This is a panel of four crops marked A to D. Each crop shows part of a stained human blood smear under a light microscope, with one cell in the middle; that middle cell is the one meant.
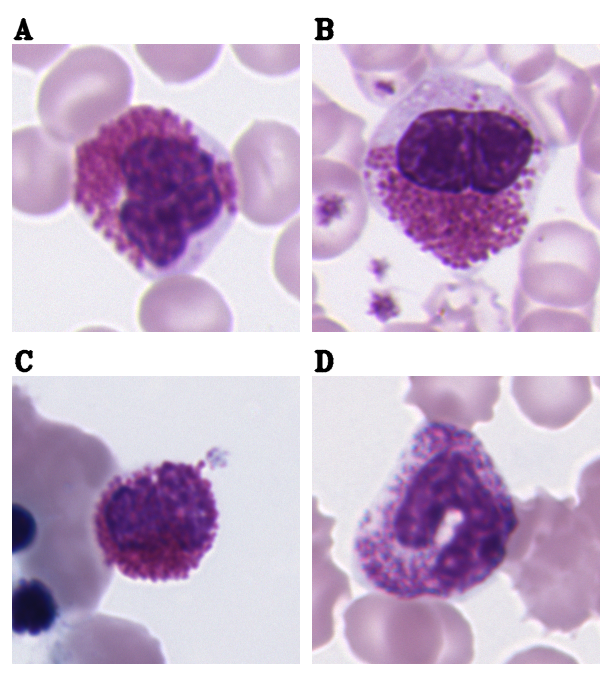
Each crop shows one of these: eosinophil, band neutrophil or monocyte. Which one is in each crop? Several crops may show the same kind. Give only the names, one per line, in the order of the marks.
eosinophil
eosinophil
eosinophil
band neutrophil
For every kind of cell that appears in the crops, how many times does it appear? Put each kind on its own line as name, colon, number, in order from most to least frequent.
eosinophil: 3
band neutrophil: 1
